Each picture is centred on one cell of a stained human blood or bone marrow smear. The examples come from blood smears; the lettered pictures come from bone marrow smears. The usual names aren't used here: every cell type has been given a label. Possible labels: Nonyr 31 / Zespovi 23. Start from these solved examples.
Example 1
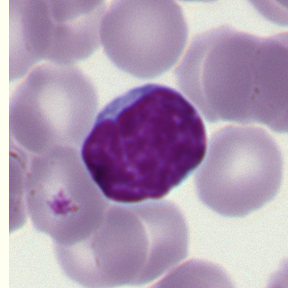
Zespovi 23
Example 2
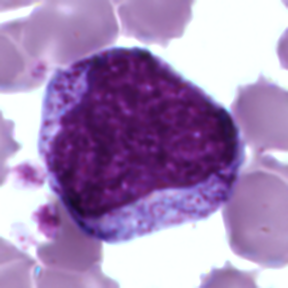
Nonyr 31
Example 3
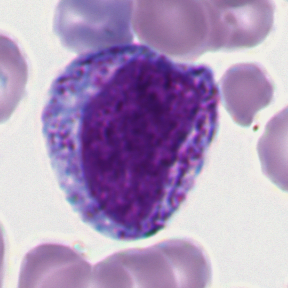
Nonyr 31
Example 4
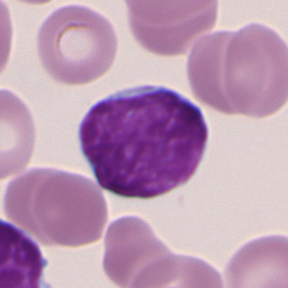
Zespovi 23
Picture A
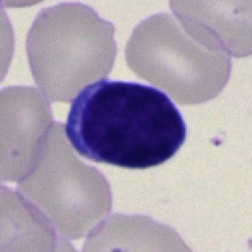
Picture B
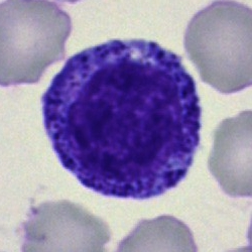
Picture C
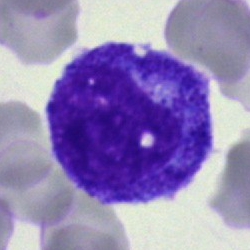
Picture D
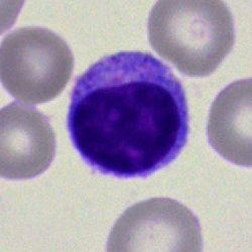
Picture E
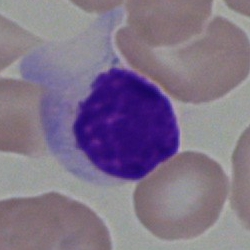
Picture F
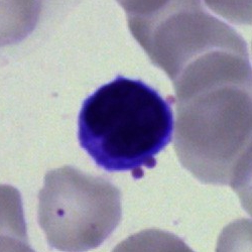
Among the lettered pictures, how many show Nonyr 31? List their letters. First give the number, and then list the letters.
2: B, C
